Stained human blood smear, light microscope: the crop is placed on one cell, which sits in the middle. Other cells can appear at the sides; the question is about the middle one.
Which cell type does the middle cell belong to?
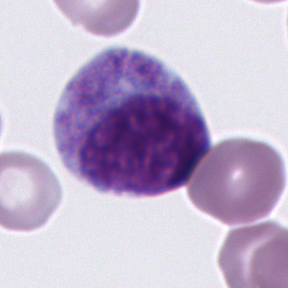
myelocyte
